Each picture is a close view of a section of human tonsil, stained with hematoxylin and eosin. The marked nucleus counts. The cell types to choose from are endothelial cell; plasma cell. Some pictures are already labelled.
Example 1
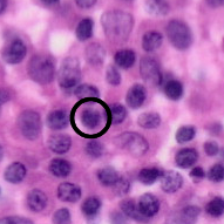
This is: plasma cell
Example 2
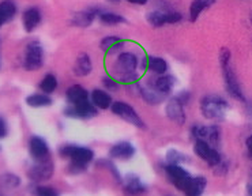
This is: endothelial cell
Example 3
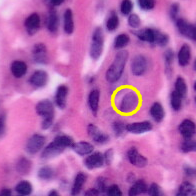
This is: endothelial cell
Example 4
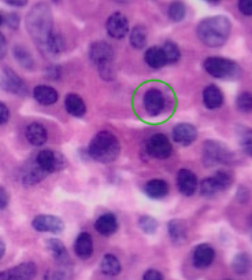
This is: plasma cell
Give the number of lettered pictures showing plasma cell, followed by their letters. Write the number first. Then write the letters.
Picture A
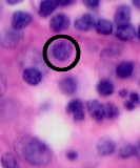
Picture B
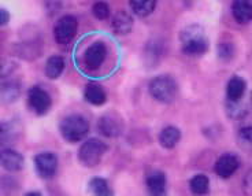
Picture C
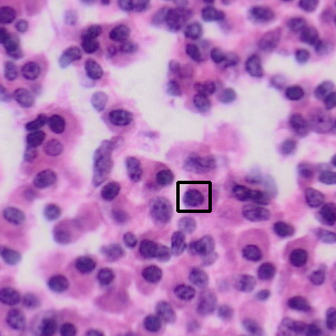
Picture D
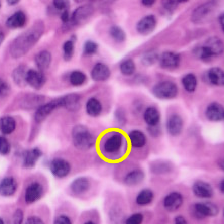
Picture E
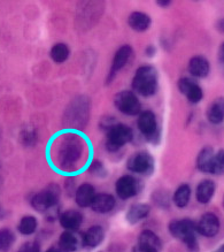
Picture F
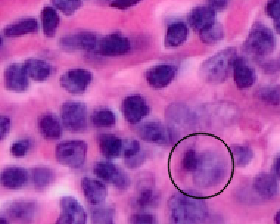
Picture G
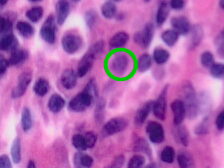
3: B, C, D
